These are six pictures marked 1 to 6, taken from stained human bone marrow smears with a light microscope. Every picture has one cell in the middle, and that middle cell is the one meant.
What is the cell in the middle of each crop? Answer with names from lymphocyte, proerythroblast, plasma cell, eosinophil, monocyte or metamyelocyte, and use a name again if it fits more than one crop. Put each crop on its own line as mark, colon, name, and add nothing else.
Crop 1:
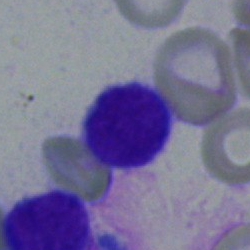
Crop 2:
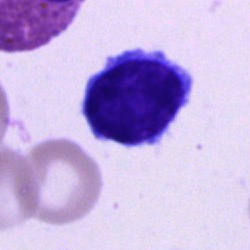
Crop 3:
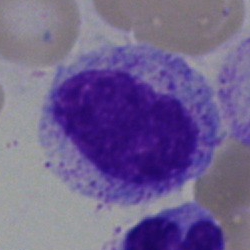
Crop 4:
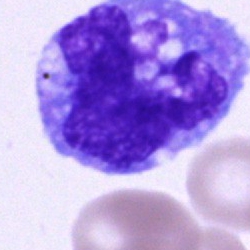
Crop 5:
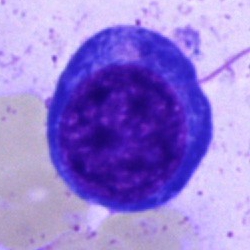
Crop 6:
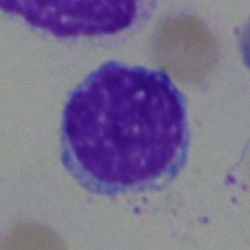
1: lymphocyte
2: lymphocyte
3: metamyelocyte
4: monocyte
5: proerythroblast
6: lymphocyte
